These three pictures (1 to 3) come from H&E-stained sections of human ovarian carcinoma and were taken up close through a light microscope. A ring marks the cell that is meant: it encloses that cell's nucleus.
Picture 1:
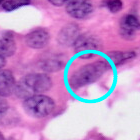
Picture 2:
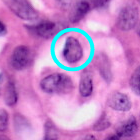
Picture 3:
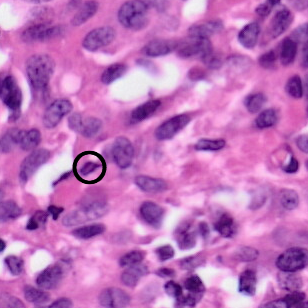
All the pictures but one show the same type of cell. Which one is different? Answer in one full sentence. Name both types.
All pictures except 2 show carcinoma cells; picture 2 shows a “macrophage or monocyte”.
